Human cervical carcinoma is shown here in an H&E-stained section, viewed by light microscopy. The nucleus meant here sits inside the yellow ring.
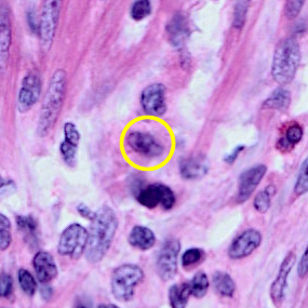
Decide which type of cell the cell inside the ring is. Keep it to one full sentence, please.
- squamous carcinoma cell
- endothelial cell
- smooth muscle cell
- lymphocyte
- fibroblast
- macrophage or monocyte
To be brief about it, the cell inside the ring is a macrophage or monocyte.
